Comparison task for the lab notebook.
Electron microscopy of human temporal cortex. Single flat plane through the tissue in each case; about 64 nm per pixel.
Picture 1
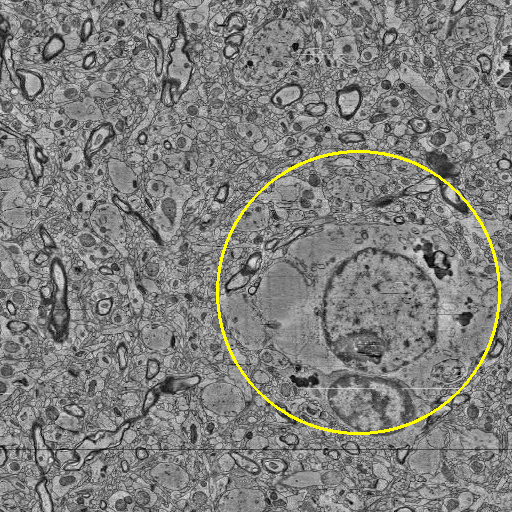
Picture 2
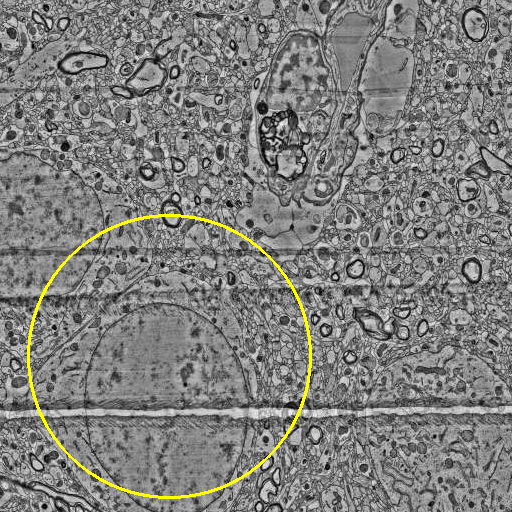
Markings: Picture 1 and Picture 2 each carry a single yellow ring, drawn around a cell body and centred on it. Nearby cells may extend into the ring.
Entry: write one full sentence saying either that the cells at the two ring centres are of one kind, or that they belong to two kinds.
The cells sitting at the ring centres in Picture 1 and Picture 2 belong to two kinds.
